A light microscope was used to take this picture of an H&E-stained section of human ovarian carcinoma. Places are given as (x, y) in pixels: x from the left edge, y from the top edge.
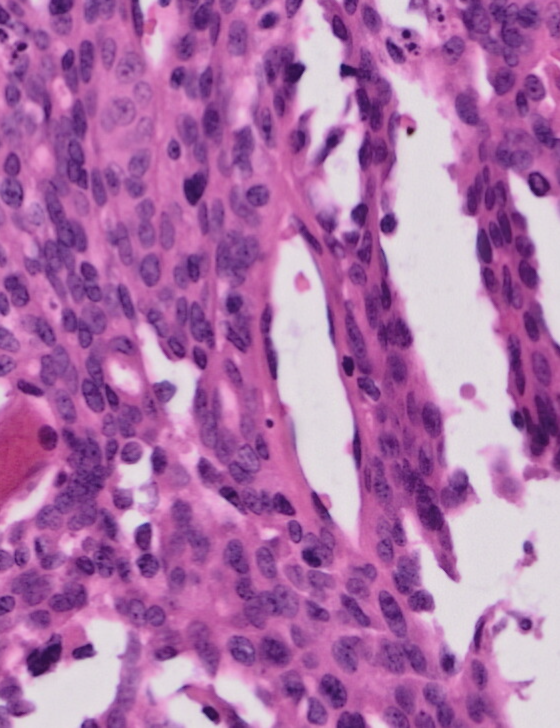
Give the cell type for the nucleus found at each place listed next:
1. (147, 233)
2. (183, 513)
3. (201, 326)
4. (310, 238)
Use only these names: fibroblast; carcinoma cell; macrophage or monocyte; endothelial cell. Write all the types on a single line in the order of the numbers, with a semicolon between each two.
carcinoma cell; carcinoma cell; carcinoma cell; endothelial cell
